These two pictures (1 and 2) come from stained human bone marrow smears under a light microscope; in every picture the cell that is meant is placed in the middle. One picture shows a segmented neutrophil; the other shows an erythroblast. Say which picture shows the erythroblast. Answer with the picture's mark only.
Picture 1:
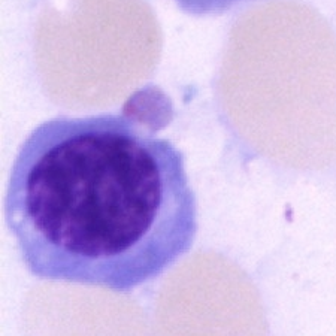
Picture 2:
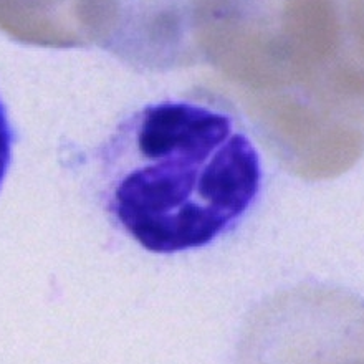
1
